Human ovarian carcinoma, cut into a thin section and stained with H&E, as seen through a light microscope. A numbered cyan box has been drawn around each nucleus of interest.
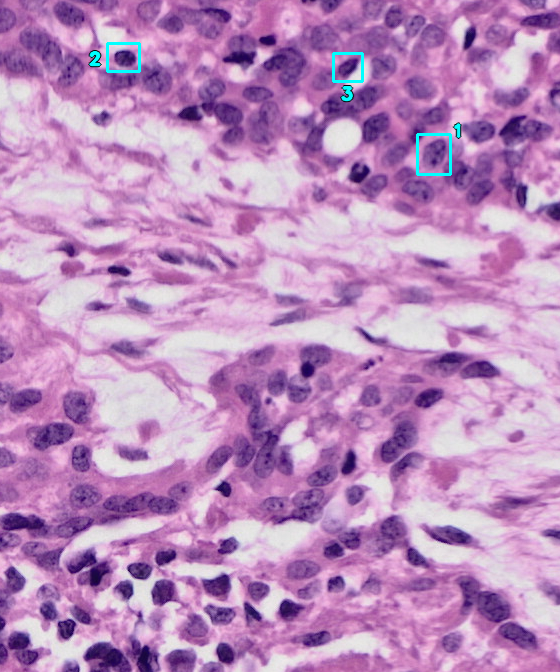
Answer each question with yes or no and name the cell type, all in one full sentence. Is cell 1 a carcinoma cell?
No, the cell labelled number 1 is not a carcinoma cell; it is a macrophage or monocyte.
